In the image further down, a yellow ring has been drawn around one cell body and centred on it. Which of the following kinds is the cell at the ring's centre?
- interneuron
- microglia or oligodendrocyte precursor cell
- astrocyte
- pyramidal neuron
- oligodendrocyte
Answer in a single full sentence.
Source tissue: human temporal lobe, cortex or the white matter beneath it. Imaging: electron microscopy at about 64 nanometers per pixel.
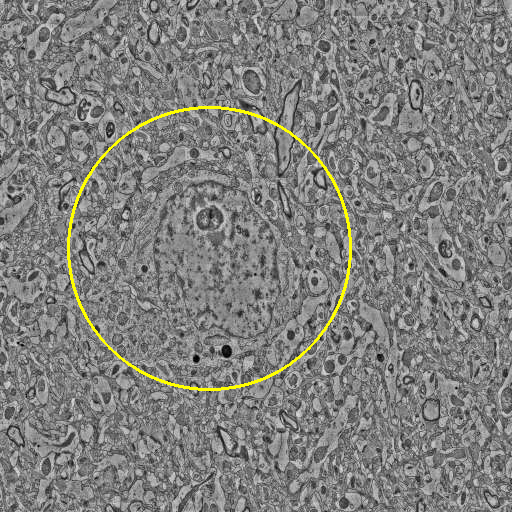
In the picture, the cell sitting at the centre of the yellow ring is an interneuron.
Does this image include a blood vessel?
No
